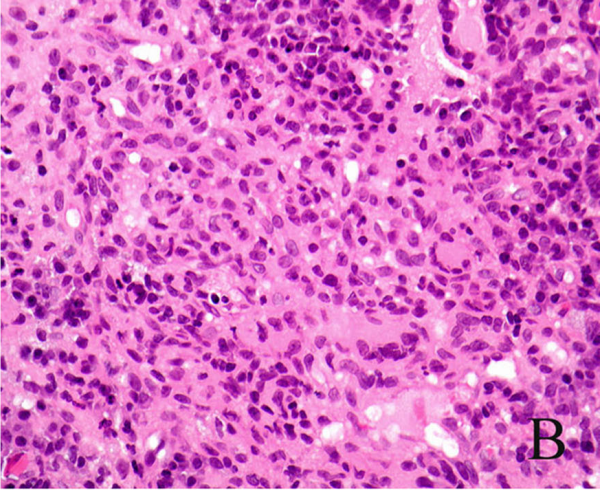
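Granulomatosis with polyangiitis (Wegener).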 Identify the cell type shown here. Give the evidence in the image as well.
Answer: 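Epithelioid. Cells with elongated, oval, vesicular nuclei and pink cytoplasm. Loose, ill-defined clusters rather than discrete round nodules.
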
